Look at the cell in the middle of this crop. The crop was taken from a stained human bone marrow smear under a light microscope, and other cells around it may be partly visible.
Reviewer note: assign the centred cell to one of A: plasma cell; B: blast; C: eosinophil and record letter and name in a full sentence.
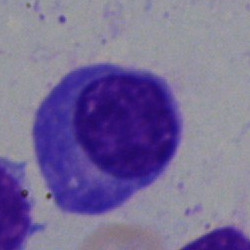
The middle of the crop contains a plasma cell, so option A is right.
